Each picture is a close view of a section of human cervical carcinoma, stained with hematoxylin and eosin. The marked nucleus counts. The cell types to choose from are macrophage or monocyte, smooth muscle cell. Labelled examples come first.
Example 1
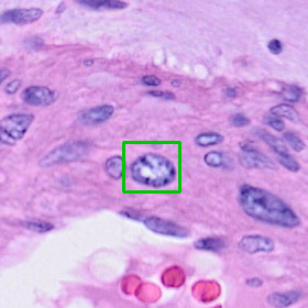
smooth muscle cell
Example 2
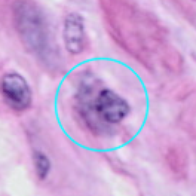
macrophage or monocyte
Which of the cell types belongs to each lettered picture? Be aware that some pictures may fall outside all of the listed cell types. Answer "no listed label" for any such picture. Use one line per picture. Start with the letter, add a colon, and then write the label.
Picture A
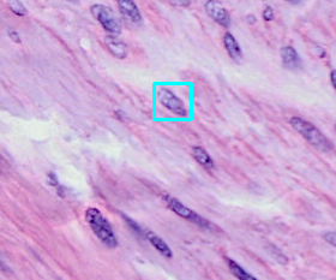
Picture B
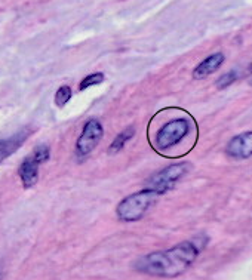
A: smooth muscle cell
B: smooth muscle cell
